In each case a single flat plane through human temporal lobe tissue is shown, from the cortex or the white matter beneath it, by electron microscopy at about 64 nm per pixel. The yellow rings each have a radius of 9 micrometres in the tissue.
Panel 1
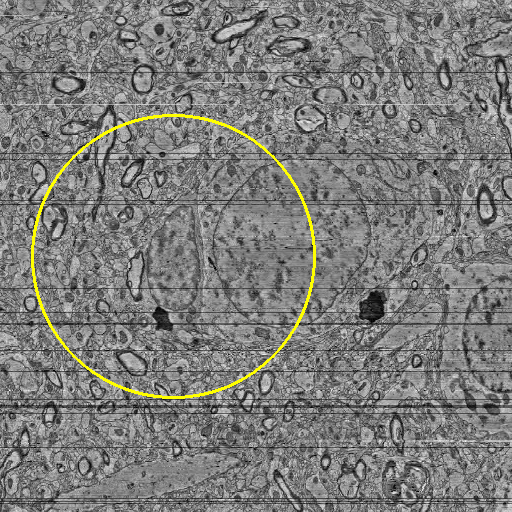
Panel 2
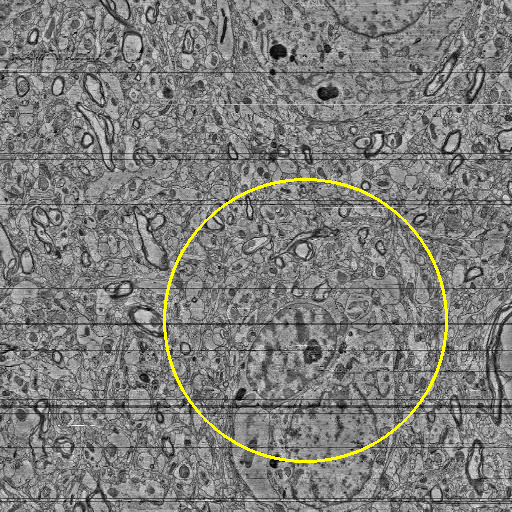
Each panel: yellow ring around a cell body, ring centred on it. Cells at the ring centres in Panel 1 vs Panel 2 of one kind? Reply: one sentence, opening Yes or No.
Yes, Panel 1 and Panel 2 have cells of one kind at the ring centres.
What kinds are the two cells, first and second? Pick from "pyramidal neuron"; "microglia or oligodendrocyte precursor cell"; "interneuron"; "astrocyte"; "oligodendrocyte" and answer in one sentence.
Each of the two rings is centred on an oligodendrocyte.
